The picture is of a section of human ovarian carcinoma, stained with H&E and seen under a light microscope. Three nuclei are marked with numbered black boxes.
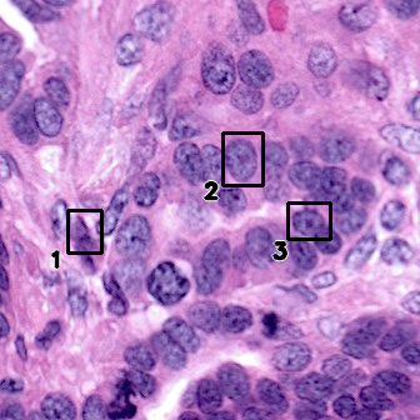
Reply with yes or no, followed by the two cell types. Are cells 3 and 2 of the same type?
Yes, both of the numbered cells concerned, 3 and 2, are carcinoma cells.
